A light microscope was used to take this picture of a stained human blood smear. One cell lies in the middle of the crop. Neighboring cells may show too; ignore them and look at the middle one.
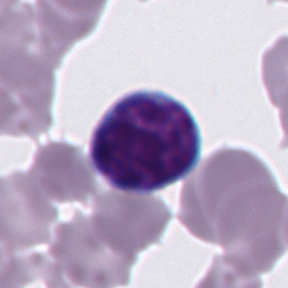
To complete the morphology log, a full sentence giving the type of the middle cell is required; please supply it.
Looking at the middle of the crop, the cell there is a typical lymphocyte.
